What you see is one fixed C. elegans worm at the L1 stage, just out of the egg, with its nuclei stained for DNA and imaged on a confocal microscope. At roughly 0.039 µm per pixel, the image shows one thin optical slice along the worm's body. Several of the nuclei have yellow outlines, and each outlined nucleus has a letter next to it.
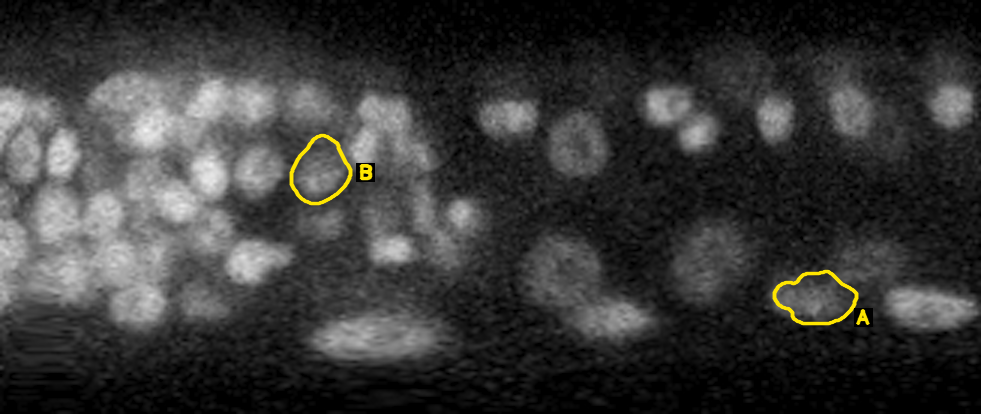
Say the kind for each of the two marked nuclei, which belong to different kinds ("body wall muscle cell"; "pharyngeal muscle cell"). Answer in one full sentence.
One is from a body wall muscle cell, namely A, and the other, B, is from a pharyngeal muscle cell.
